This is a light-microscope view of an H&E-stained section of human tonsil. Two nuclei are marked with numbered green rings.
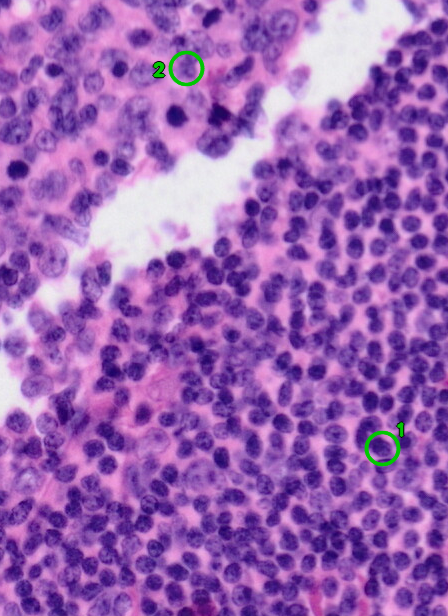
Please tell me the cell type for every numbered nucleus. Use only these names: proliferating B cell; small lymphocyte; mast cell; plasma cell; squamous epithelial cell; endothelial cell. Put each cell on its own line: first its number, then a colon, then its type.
1: small lymphocyte
2: proliferating B cell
